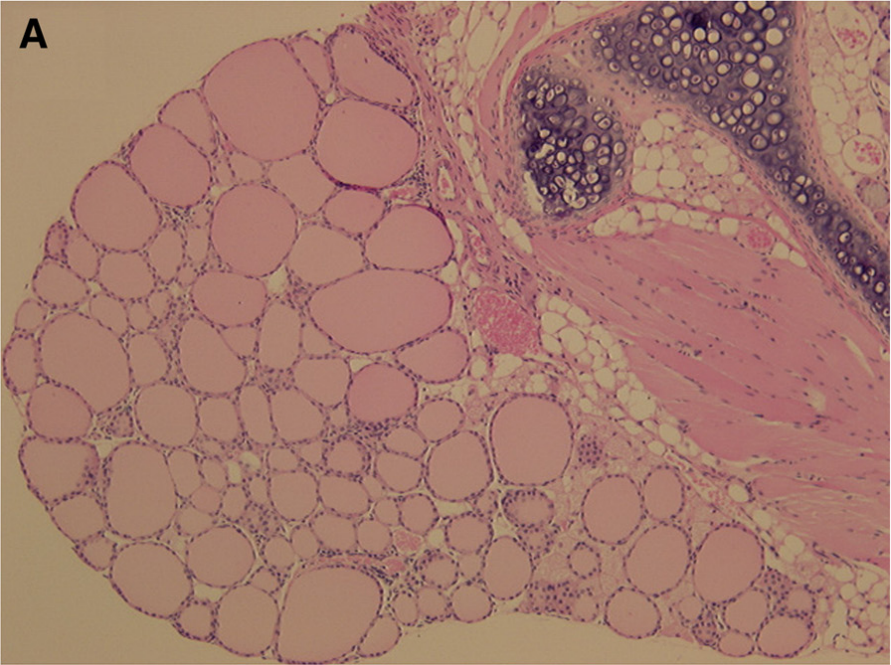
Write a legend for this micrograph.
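This is thyroid gland, made of many round follicles of varying size packed closely together. Each follicle is a ring of a single layer of flattened epithelial cells with small dark nuclei, enclosing smooth, homogeneous pink colloid. Beside the gland lie purple-staining cartilage with rounded cells in lacunae, pale fat cells, and bundles of pink skeletal muscle.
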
